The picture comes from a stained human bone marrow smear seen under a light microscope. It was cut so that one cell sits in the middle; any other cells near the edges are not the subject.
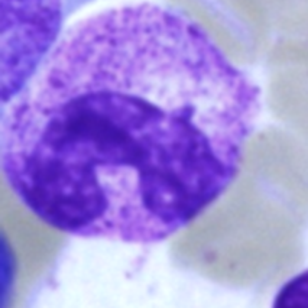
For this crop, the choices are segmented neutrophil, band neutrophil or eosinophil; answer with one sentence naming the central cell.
The central cell in this smear crop is a band neutrophil.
